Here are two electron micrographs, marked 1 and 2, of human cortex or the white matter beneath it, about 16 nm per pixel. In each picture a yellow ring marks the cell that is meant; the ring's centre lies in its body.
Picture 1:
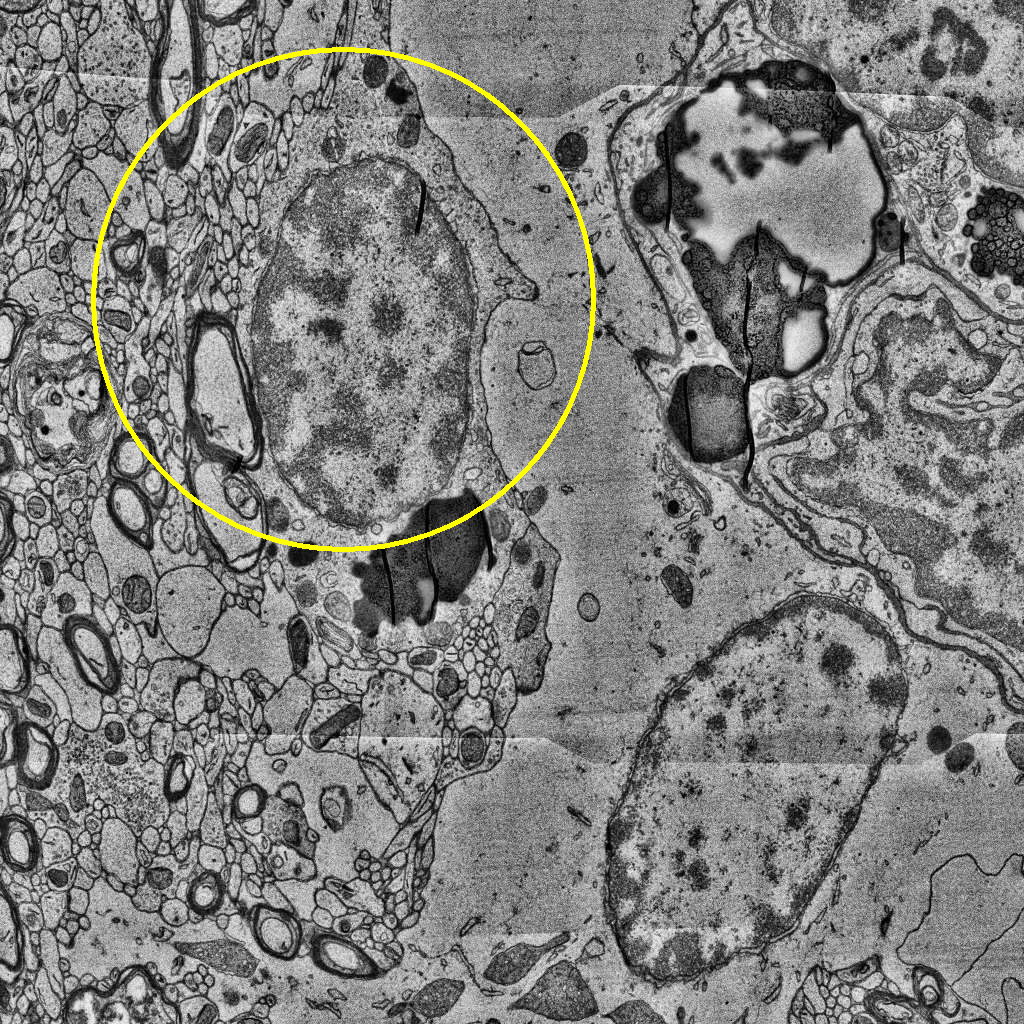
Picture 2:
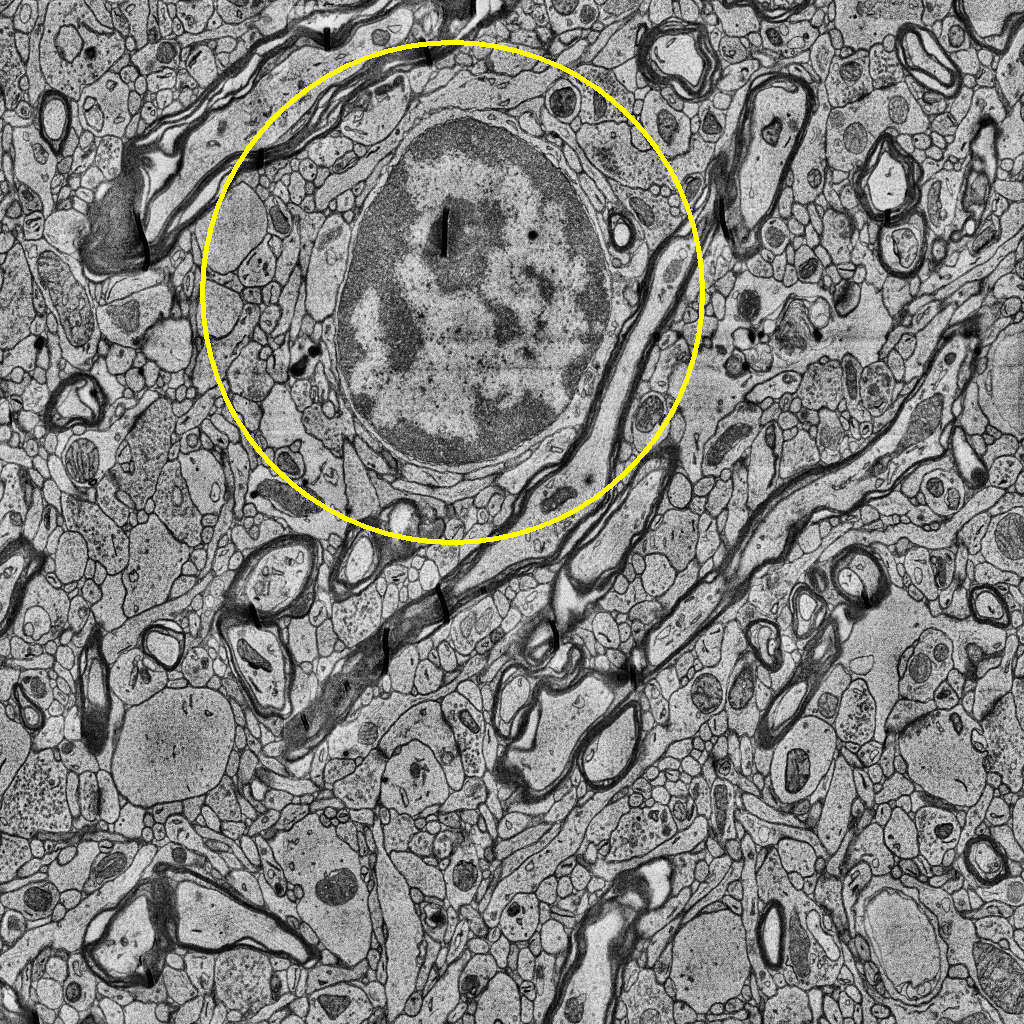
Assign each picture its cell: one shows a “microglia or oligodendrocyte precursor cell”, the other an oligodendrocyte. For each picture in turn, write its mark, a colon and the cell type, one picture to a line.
1: oligodendrocyte
2: microglia or oligodendrocyte precursor cell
